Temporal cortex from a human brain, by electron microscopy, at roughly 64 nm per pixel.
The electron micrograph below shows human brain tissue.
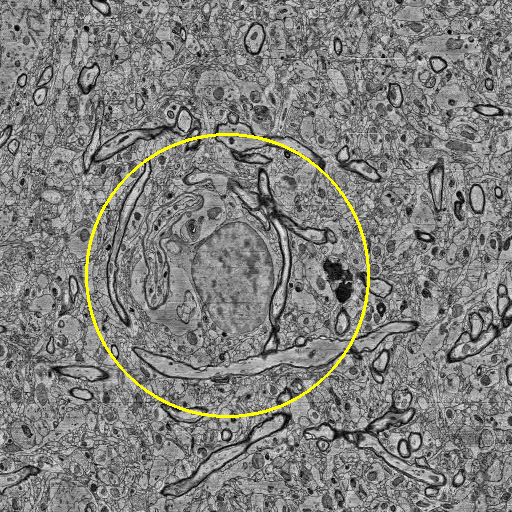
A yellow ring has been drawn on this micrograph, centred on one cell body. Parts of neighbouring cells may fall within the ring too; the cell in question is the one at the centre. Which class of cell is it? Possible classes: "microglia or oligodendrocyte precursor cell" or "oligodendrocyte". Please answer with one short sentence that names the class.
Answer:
In the centre of the ring sits an oligodendrocyte.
